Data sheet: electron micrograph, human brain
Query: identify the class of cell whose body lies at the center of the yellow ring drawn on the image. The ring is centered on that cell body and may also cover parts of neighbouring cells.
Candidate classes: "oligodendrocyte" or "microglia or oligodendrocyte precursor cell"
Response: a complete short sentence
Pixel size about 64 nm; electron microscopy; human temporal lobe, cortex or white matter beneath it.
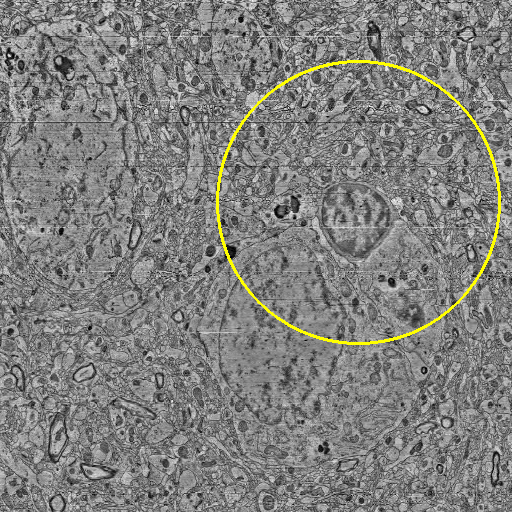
At the center of the ring lies an oligodendrocyte.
